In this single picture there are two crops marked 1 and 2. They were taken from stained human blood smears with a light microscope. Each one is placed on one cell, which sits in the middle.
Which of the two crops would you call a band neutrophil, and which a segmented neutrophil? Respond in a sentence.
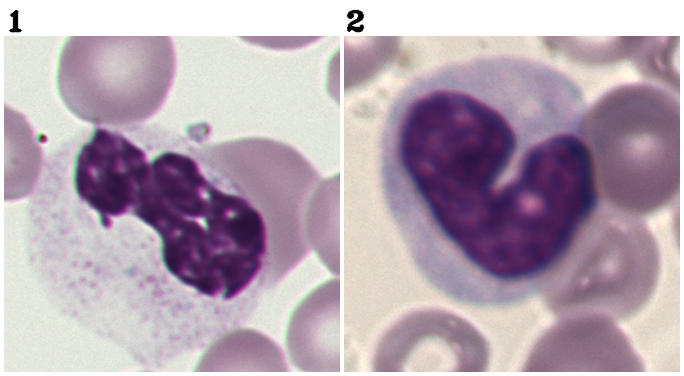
Respectively, crops 1 and 2 show a segmented neutrophil and a band neutrophil.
